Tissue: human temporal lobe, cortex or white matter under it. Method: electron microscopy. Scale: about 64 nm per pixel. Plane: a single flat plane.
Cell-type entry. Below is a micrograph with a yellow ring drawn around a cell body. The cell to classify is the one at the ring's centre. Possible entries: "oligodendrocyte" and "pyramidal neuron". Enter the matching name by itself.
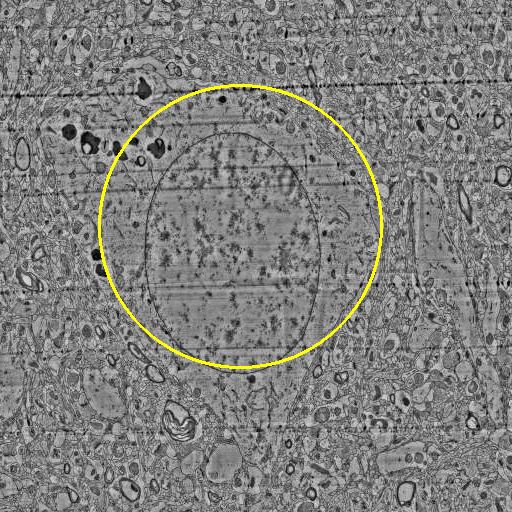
pyramidal neuron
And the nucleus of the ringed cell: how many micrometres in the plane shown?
Roughly 15 micrometres by 12 micrometres, in this plane.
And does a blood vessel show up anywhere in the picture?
No.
